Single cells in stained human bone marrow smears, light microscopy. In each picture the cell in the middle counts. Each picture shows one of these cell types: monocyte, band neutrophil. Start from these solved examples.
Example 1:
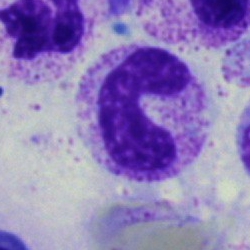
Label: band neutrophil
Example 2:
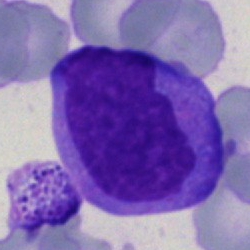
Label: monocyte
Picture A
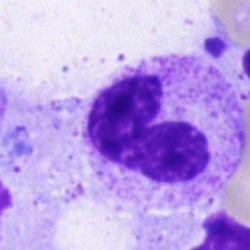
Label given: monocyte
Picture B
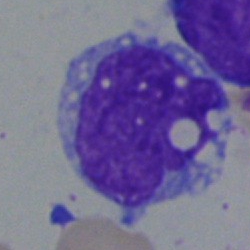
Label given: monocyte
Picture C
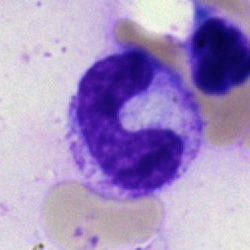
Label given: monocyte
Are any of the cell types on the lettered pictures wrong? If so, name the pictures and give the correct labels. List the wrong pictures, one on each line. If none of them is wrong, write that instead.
A: not monocyte but band neutrophil
C: not monocyte but band neutrophil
